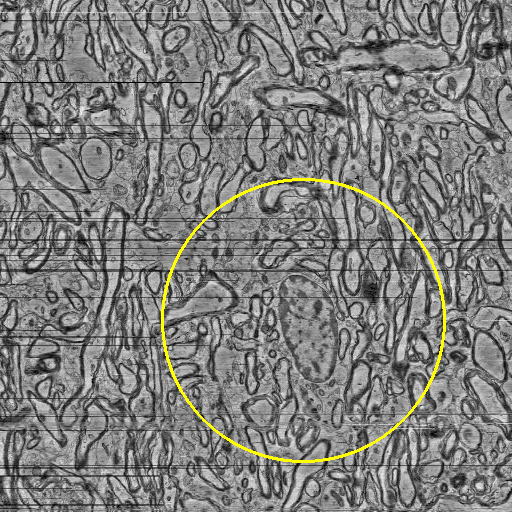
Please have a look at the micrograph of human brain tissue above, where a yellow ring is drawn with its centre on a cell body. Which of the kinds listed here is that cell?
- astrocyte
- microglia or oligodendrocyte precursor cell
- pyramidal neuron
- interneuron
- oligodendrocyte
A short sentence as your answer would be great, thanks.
At the centre of the ring sits a microglial cell or oligodendrocyte precursor cell.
